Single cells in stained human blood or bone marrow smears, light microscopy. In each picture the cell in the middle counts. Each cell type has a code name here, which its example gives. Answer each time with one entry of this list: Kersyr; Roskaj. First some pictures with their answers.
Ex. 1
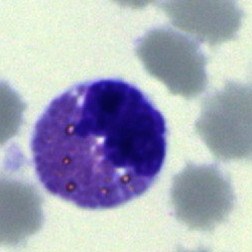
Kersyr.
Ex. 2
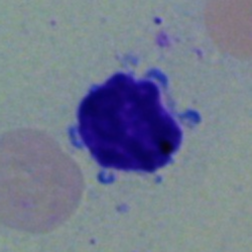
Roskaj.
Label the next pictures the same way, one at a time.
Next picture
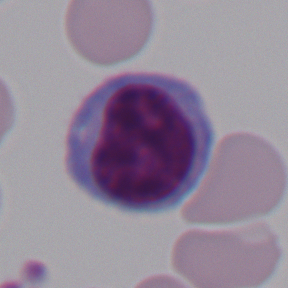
Roskaj.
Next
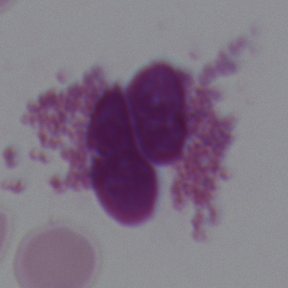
Kersyr.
